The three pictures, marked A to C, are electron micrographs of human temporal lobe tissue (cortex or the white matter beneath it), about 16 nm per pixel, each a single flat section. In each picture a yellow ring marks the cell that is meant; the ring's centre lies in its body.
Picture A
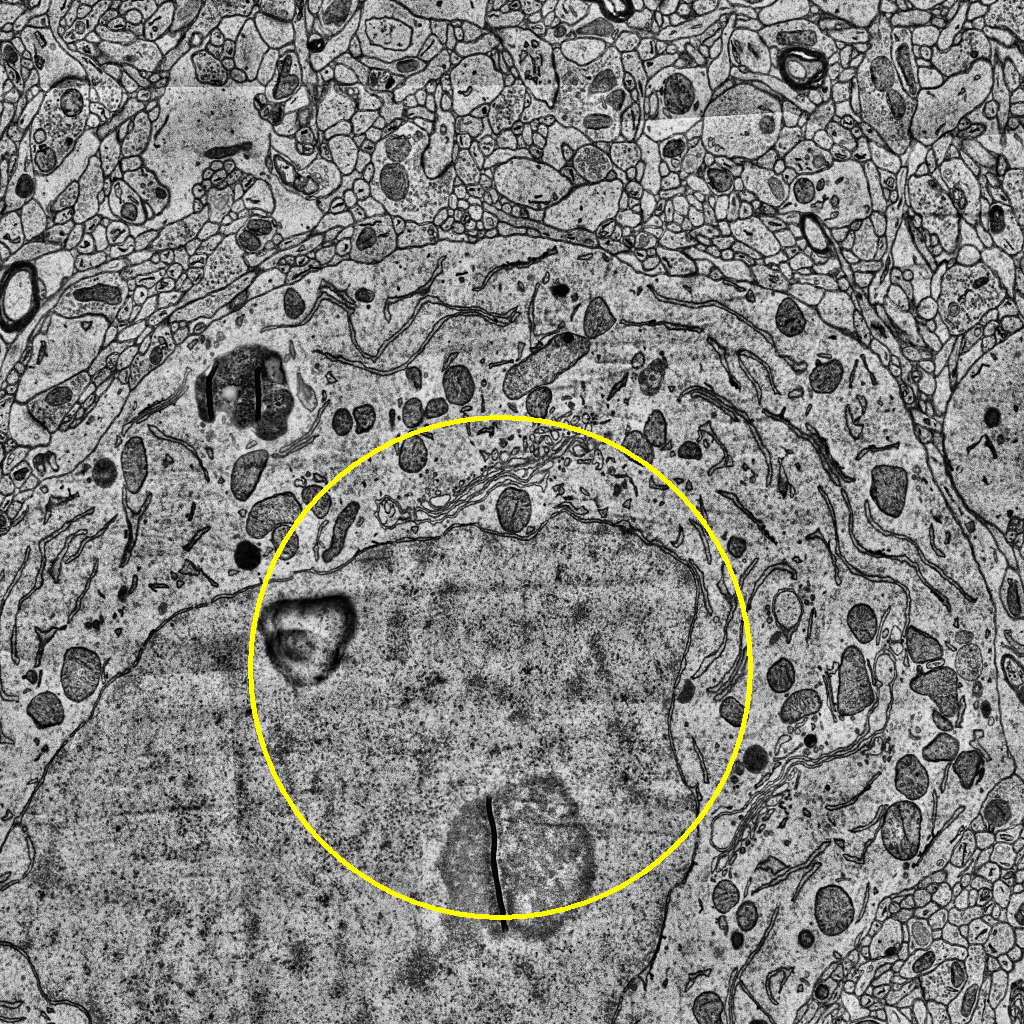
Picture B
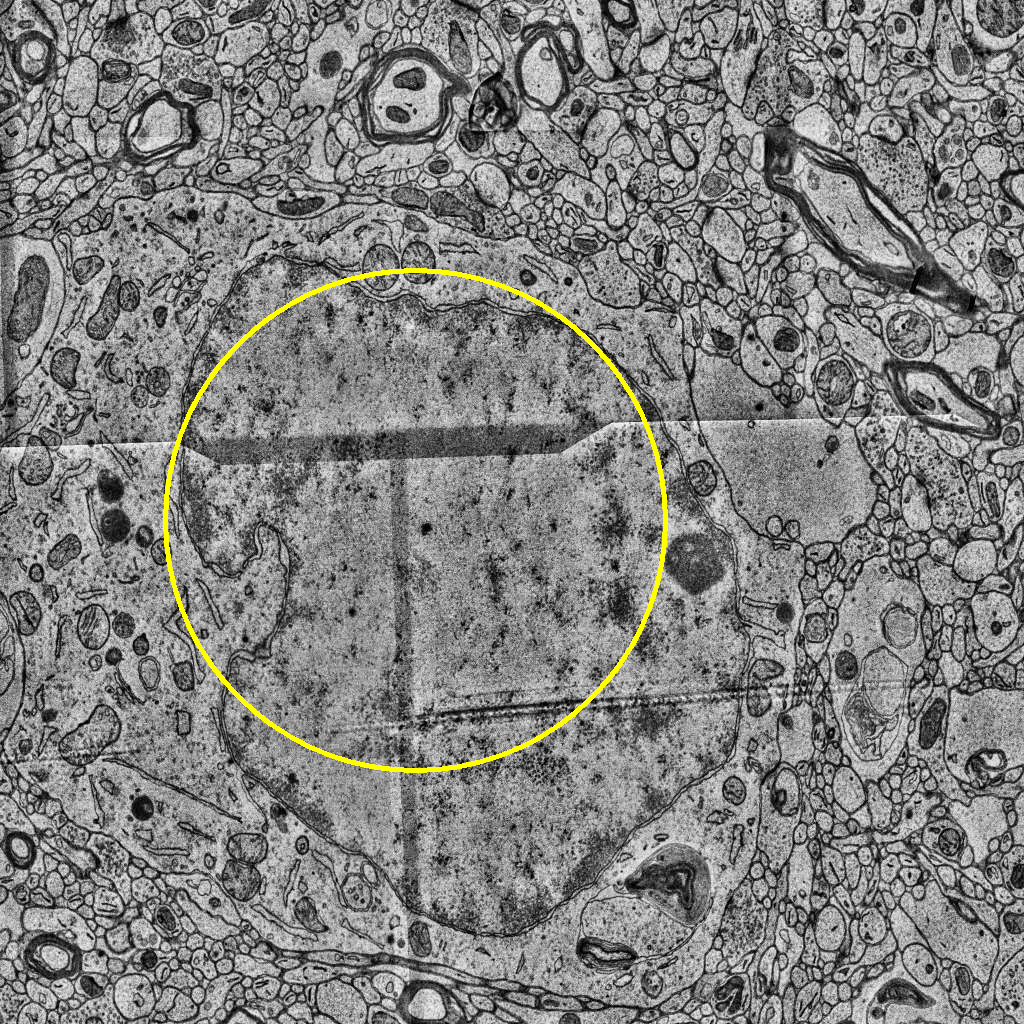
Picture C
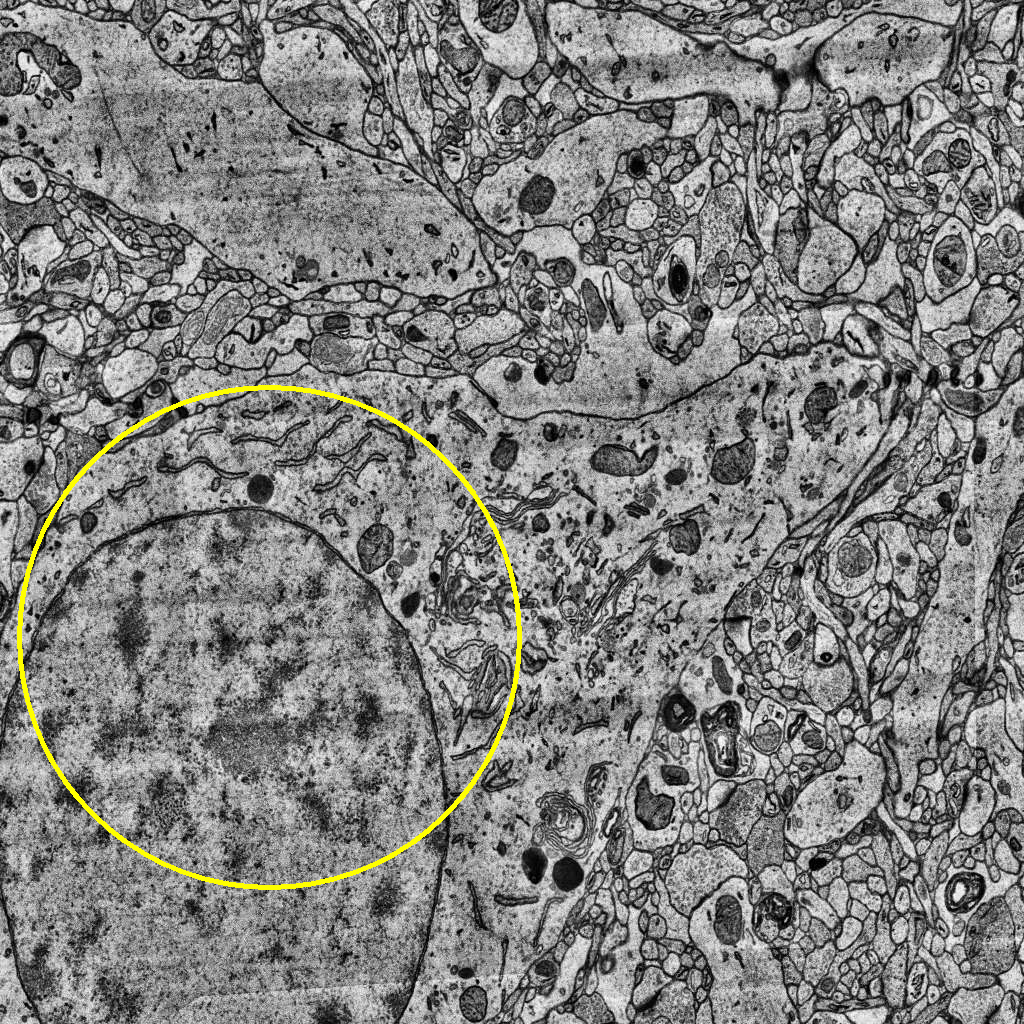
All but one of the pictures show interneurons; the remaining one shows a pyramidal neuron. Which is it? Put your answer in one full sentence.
Picture C is the one that shows the pyramidal neuron.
